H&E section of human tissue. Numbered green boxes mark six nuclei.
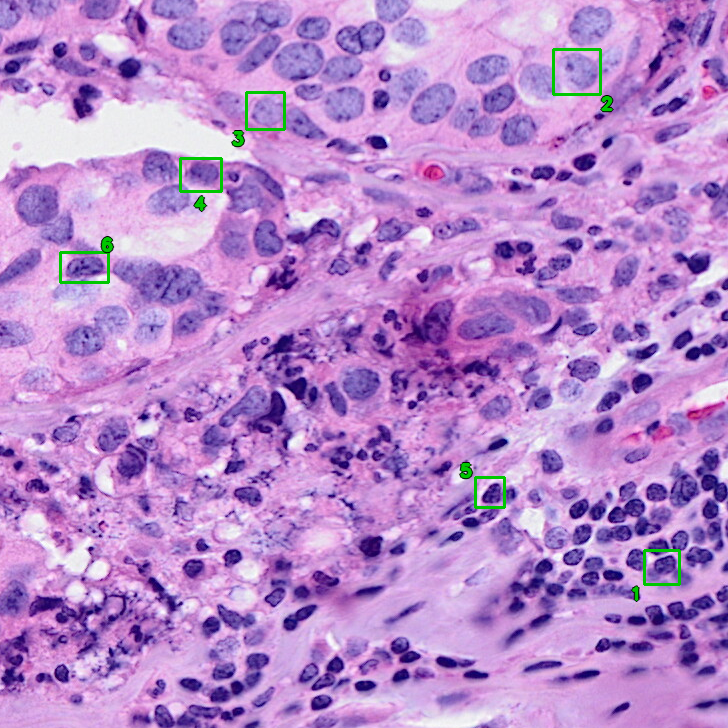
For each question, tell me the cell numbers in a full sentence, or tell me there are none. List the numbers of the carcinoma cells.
Into the category of carcinoma cells fall the cells numbered 2, 3, 4 and 6.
